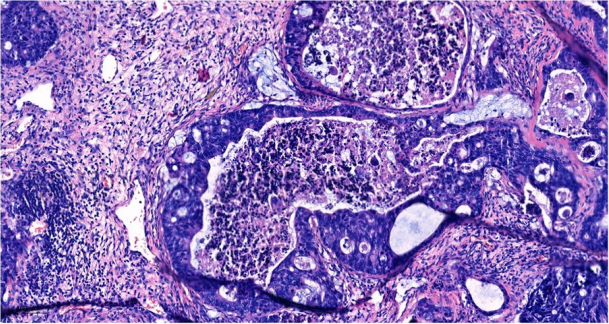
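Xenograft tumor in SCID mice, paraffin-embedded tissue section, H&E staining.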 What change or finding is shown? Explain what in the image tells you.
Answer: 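Large gland lumina filled with pink debris and dark nuclear fragments. Lumina rimmed by a layer of dark-staining epithelial cells.
Hence: dirty necrosis.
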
